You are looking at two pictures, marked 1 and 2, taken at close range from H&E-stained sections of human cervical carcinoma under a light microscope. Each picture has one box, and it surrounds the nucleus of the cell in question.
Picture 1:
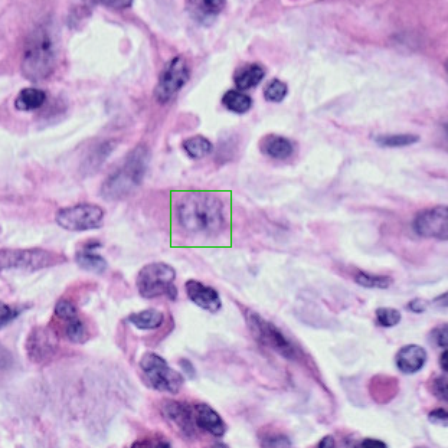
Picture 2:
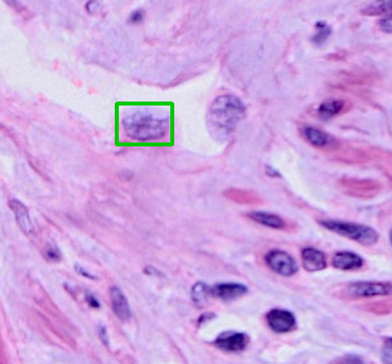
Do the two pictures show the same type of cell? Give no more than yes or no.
yes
